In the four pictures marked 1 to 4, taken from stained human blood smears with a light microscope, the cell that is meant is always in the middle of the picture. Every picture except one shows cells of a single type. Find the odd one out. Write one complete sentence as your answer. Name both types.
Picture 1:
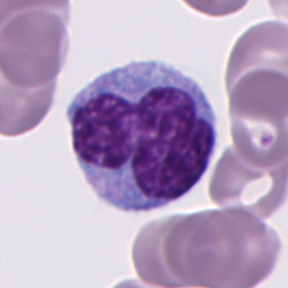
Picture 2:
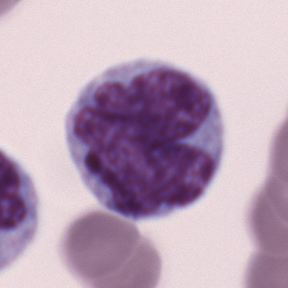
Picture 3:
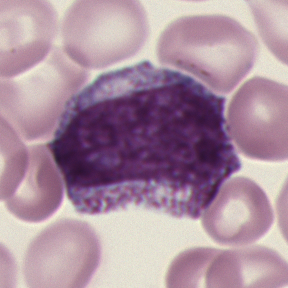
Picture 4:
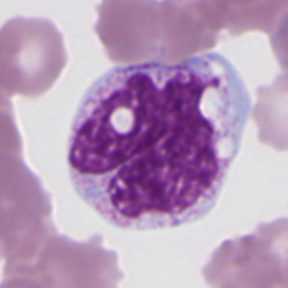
The different one is picture 3; it shows a myelocyte, whereas all the others show monocytes.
